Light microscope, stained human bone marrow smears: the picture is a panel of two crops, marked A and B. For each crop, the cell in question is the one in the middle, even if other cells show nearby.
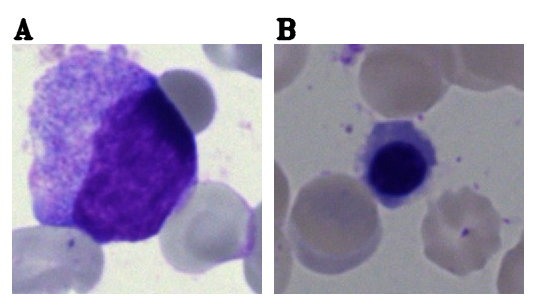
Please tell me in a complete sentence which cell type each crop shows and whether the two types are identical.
No, crop A has a blast in the middle, and crop B has a normoblast.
